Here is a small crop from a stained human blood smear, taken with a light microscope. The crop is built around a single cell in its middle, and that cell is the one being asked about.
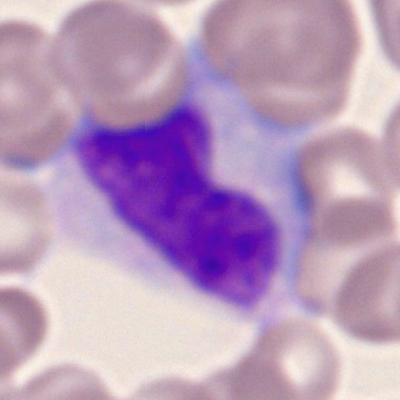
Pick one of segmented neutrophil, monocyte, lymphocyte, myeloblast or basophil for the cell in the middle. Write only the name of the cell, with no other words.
monocyte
